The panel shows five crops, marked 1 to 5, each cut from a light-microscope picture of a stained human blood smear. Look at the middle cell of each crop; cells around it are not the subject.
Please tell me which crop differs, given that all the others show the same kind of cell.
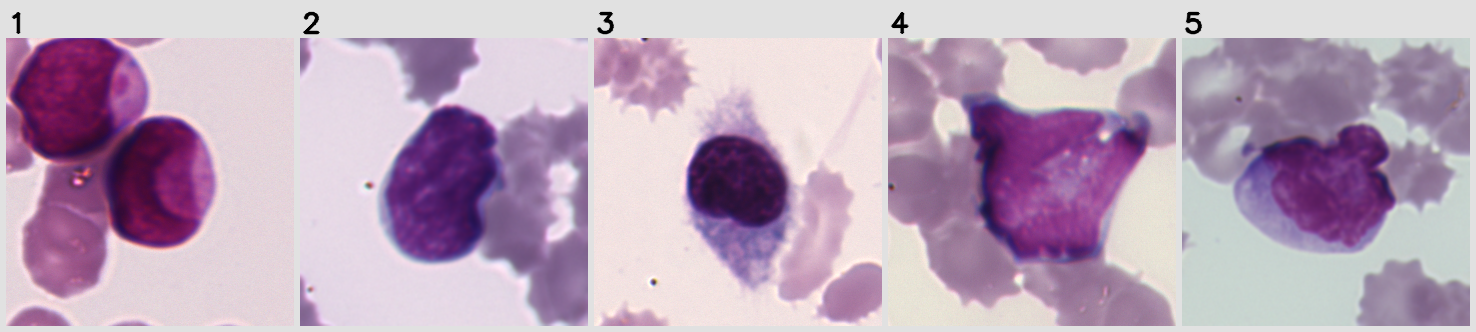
3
